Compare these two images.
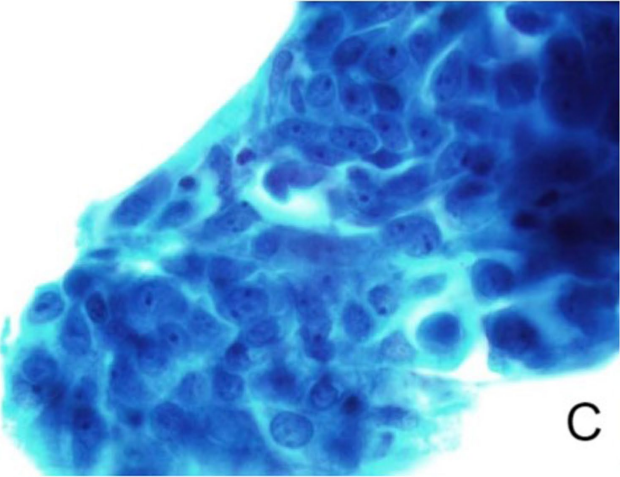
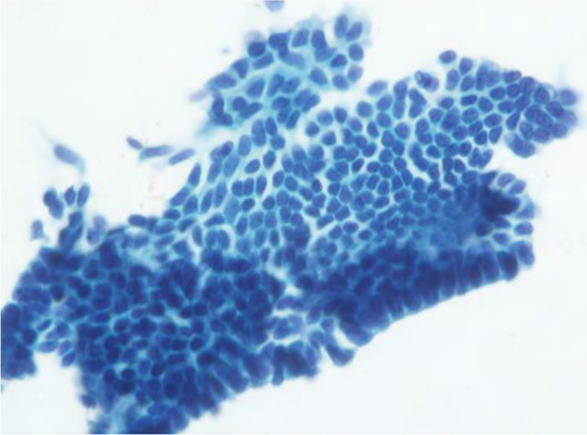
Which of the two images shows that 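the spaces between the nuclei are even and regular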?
The second image.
